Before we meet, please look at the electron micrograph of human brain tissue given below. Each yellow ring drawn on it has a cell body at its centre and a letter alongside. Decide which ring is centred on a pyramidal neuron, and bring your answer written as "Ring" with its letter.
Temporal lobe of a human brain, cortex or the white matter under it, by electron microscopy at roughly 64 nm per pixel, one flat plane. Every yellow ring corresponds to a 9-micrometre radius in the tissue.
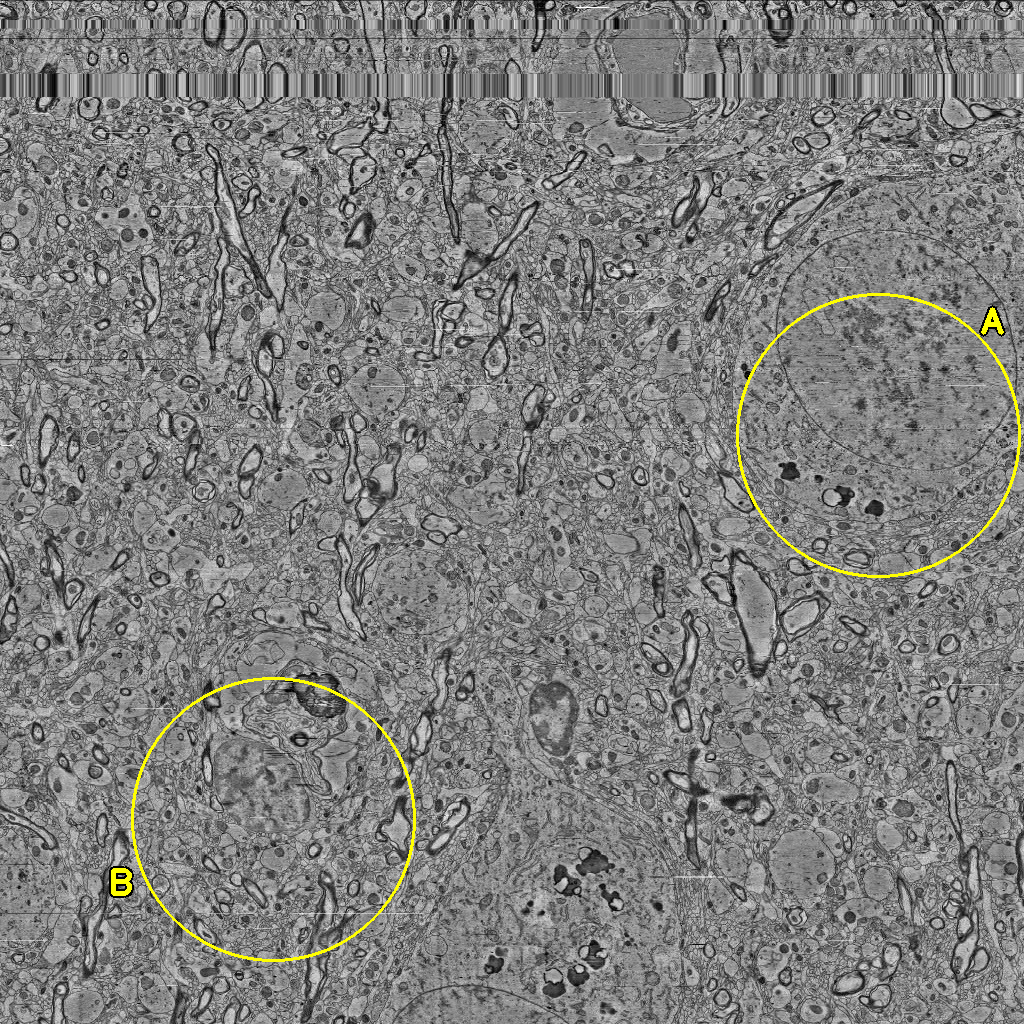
Ring A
